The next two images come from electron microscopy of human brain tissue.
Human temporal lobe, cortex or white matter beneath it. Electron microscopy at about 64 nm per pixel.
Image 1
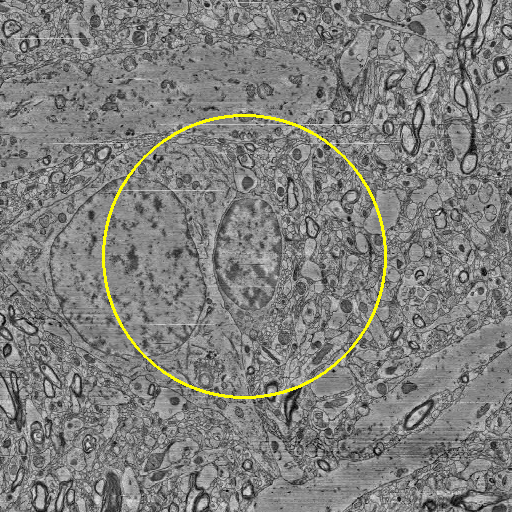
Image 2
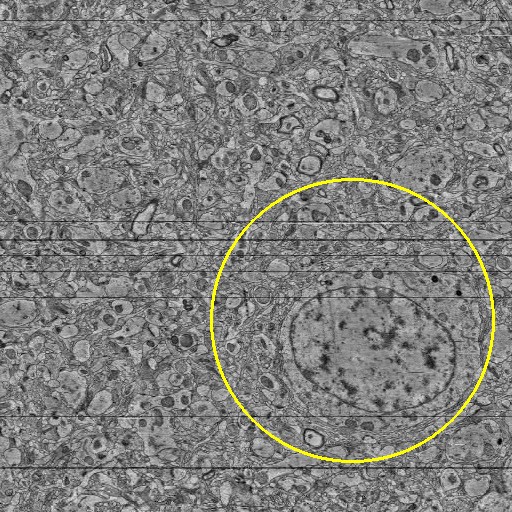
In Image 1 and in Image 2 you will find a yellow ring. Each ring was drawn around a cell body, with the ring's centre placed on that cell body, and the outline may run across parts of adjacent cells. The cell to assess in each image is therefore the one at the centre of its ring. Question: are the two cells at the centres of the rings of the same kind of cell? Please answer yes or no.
no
